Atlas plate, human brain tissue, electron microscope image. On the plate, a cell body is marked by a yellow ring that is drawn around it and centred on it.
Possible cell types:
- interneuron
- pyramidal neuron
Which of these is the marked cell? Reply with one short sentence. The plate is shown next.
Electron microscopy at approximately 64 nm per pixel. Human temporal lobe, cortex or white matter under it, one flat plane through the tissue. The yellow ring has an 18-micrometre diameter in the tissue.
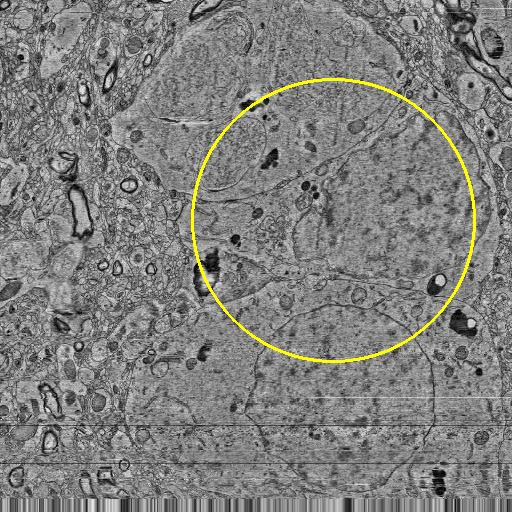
The marked cell is an interneuron.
